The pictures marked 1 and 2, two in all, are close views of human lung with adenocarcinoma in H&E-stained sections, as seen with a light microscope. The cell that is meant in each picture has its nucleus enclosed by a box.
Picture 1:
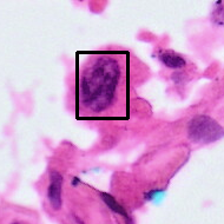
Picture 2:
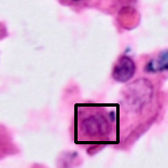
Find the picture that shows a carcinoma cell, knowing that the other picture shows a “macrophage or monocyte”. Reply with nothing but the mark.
1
